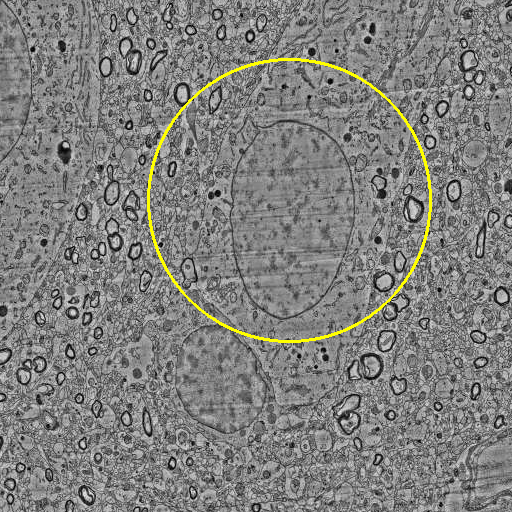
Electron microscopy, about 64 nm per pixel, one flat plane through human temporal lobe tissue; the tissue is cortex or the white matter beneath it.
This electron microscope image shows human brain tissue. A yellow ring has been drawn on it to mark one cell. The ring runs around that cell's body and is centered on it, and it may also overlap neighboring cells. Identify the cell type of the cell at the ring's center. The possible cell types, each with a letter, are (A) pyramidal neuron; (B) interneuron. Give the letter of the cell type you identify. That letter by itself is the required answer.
A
